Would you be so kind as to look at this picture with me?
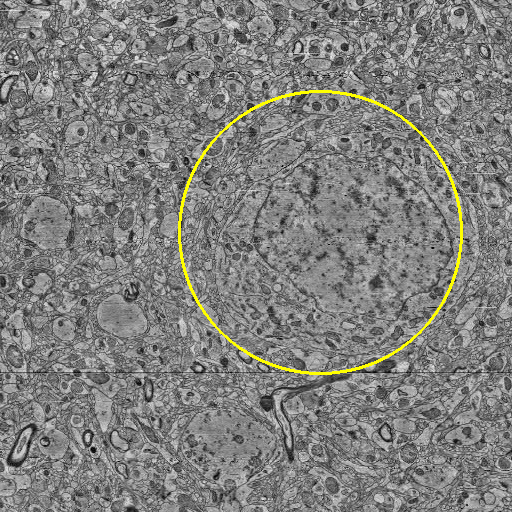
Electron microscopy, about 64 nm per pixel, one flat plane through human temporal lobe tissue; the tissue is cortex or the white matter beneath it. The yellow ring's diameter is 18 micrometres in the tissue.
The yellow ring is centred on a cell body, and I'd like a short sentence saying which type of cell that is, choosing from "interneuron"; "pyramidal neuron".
The cell body in the ring belongs to an interneuron.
